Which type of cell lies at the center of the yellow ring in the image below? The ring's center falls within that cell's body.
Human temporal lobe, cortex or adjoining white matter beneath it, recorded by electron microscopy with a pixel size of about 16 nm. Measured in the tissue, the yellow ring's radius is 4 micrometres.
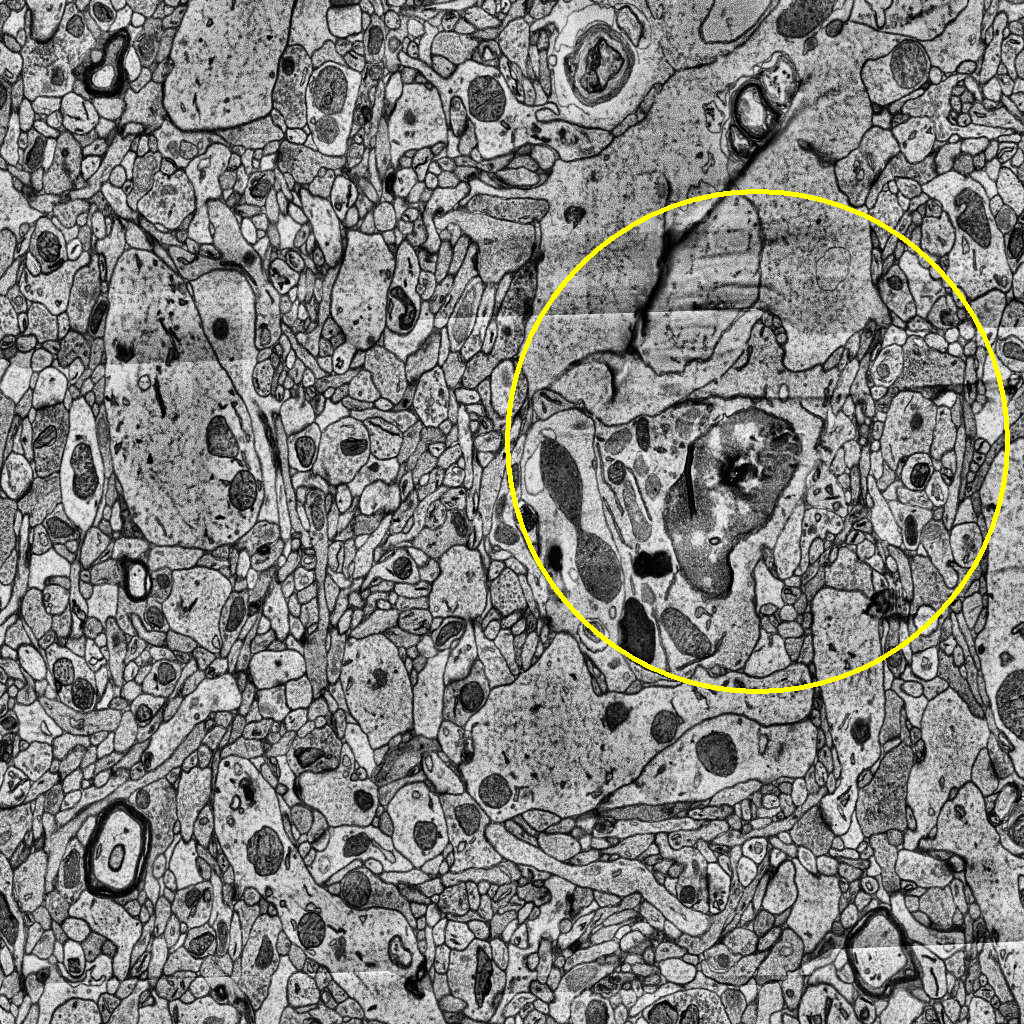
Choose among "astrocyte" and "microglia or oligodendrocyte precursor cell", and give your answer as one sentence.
The cell body at the center belongs to a microglial cell or oligodendrocyte precursor cell.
